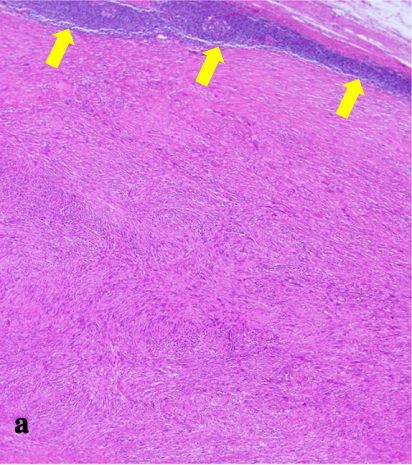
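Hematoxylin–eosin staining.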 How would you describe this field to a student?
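Spindle-cell tumor composed of elongated tumor cells with pink, acidophilic cytoplasm. The cells have slender, elongated nuclei and are arranged in interlacing bundles and sweeping fascicles. Along the upper margin lies a dense band of small, dark-blue round lymphoid cells forming a cuff around the tumor. Above this band is looser, paler connective tissue.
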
